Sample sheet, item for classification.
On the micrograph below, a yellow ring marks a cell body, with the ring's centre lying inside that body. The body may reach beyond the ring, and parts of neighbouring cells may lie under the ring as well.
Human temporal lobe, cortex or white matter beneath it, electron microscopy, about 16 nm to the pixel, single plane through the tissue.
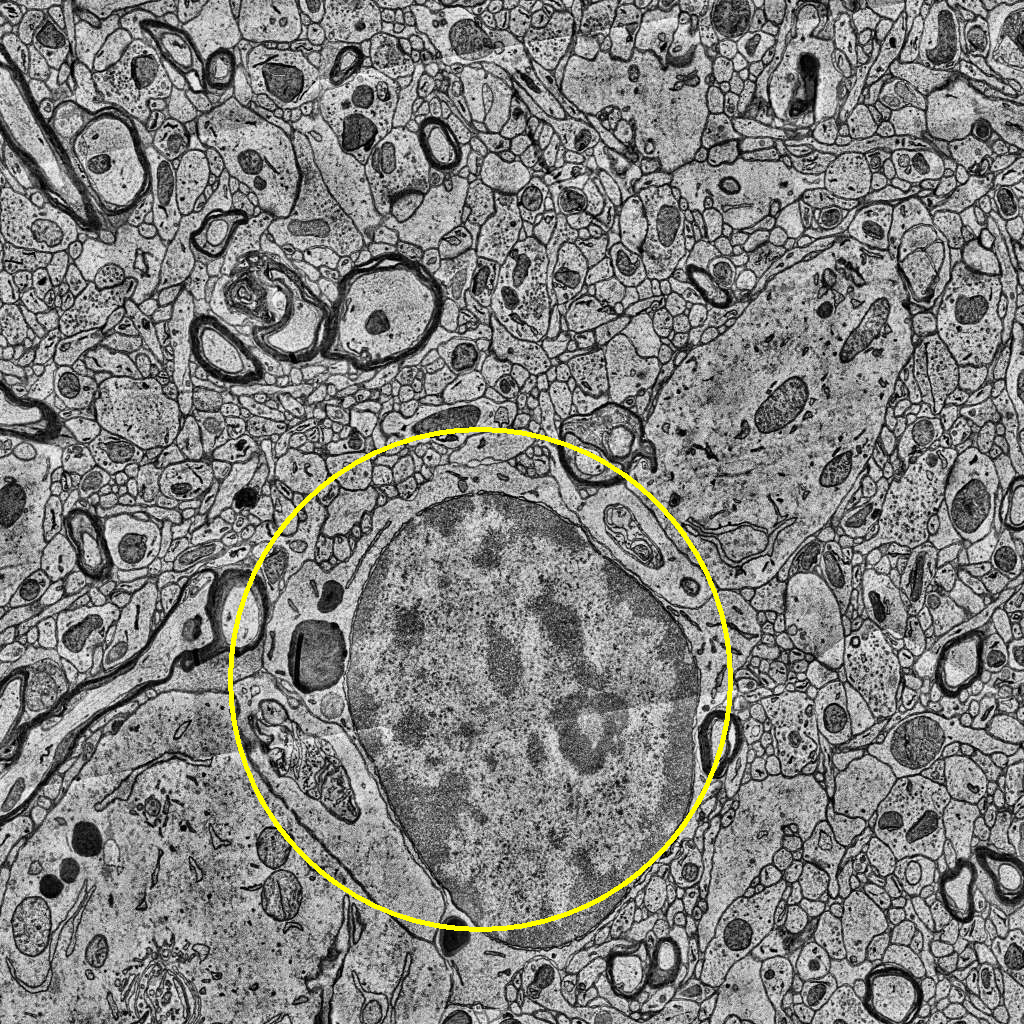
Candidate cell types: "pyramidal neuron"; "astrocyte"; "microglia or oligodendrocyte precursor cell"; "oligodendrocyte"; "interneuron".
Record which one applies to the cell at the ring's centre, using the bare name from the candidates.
microglia or oligodendrocyte precursor cell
